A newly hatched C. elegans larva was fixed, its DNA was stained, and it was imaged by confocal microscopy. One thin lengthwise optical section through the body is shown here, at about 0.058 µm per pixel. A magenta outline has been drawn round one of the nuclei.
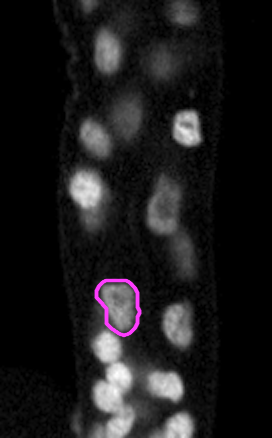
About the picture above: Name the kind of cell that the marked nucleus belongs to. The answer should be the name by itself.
intestinal cell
